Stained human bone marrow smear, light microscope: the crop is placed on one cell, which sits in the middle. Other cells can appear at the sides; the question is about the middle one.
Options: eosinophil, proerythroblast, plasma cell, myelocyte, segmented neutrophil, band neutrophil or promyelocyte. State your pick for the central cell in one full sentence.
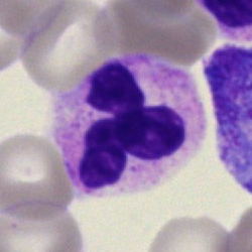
In the middle of this smear crop, the cell is a segmented neutrophil.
